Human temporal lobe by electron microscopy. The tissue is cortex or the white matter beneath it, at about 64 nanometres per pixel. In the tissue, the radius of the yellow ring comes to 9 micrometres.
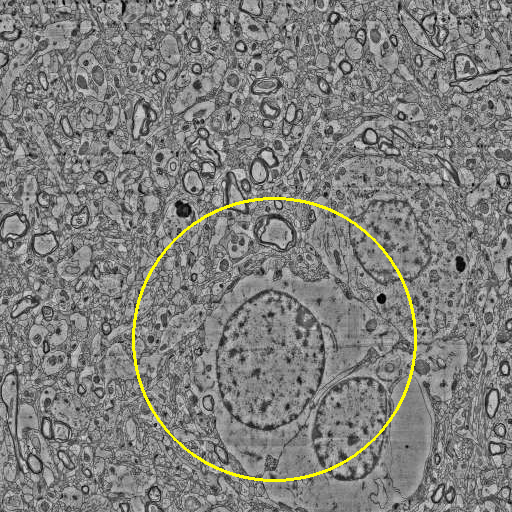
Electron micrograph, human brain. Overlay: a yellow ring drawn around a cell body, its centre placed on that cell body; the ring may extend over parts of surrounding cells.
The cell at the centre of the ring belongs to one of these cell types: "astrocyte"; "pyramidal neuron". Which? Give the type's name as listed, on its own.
astrocyte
